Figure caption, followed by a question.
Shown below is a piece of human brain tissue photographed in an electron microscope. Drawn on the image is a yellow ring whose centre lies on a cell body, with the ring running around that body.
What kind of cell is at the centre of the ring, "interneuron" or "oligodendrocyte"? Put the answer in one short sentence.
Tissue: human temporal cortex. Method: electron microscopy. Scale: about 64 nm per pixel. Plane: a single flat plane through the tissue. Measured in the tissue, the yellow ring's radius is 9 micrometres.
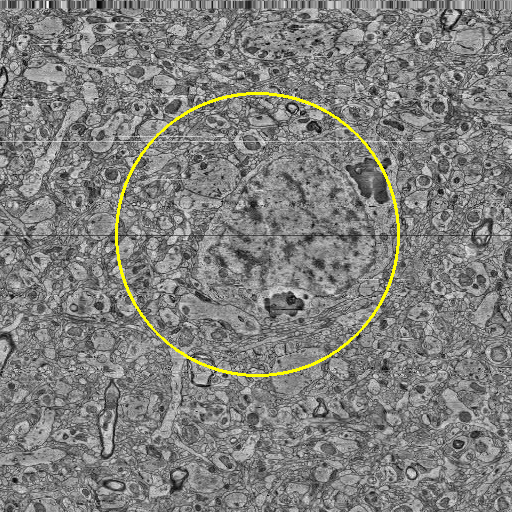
The ring marks the cell body of an interneuron.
